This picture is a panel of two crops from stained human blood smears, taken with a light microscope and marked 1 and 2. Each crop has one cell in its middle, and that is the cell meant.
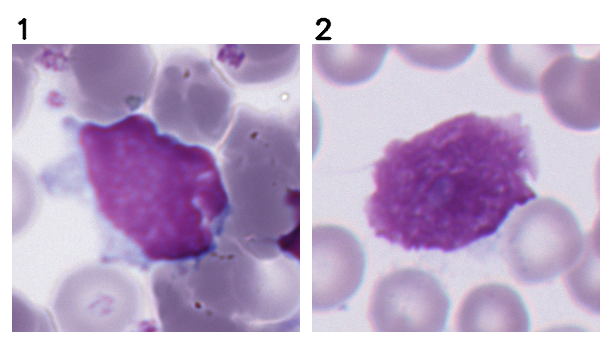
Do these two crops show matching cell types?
no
